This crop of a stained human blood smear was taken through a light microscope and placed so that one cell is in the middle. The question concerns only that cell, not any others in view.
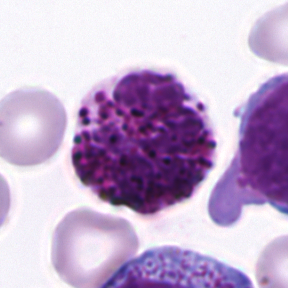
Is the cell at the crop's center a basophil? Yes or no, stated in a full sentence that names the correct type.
Yes, this is a basophil, the cell in the middle of the crop.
